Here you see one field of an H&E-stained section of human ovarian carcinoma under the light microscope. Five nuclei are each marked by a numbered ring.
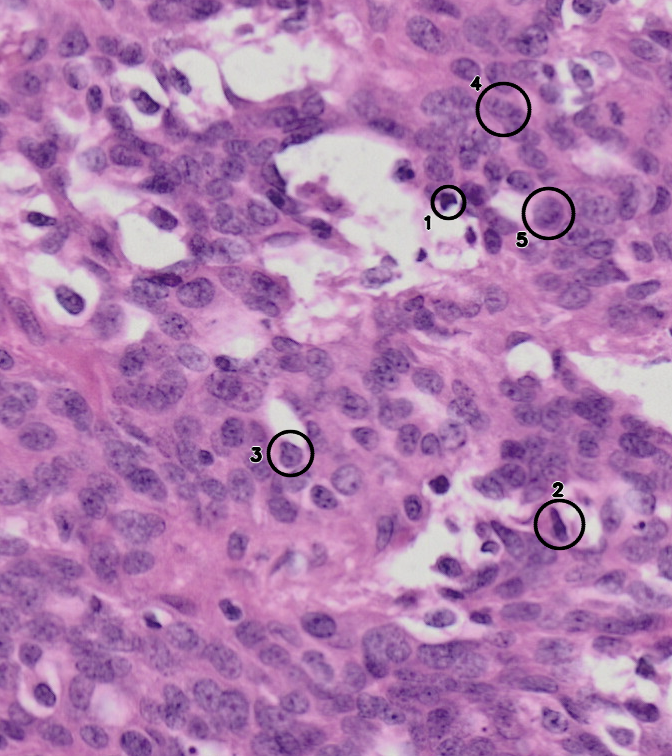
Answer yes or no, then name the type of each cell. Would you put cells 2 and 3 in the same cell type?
Yes, cells 2 and 3 are both to be classed as macrophages or monocytes.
